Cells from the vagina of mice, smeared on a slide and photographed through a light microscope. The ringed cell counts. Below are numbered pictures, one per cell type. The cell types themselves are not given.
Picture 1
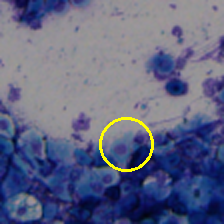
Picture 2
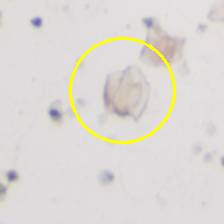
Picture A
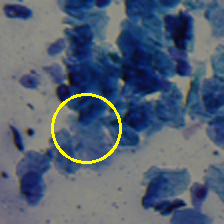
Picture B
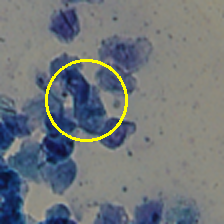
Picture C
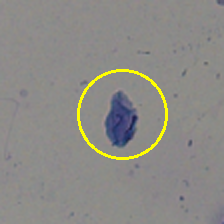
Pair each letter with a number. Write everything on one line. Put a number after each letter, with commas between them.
A 2, B 2, C 2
